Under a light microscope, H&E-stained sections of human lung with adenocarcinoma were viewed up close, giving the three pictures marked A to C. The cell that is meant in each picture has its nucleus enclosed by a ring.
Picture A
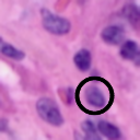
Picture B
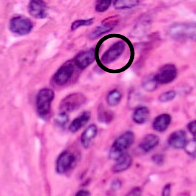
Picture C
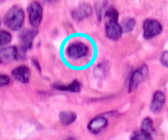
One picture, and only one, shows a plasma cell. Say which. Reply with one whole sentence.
The plasma cell is the one in picture B.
